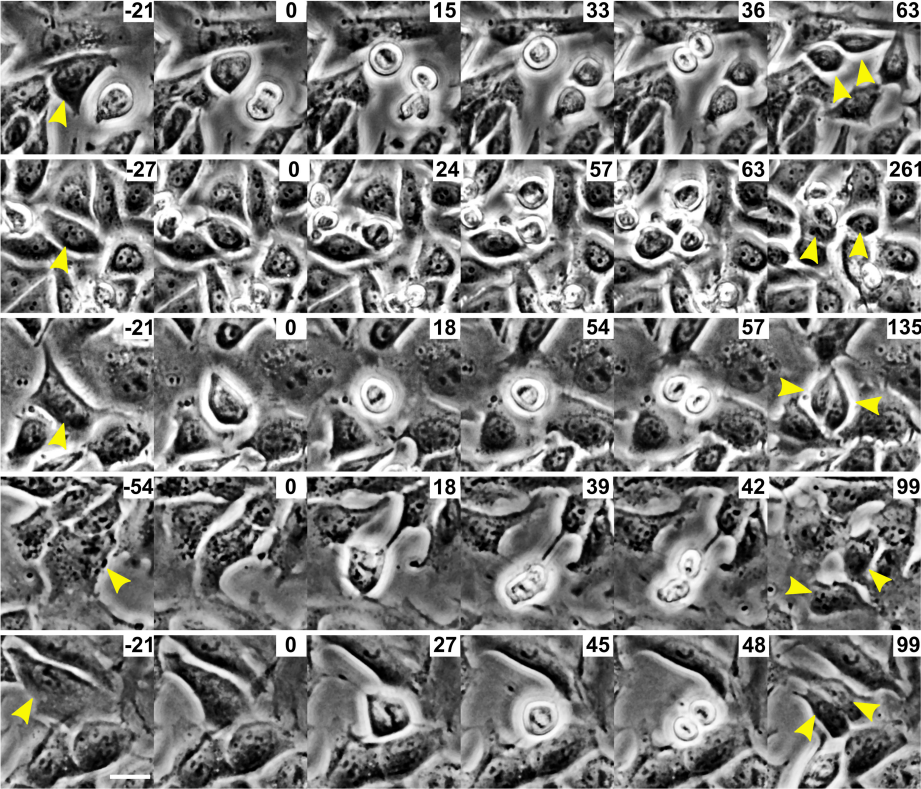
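These phase-contrast time-lapse frames follow single cultured epithelial-like cells through mitosis, one cell per row. In the first frames the cell is flat and spread among its neighbours, with a dark, granular nucleus holding visible nucleoli. The cell then rounds up into a bright, refractile sphere with a halo, a dark band of condensed chromosomes forms across its middle, and the sphere then pinches into two round bodies. In the last frame two flattened cells lie side by side where the mother cell had been, again spread among the surrounding cells.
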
